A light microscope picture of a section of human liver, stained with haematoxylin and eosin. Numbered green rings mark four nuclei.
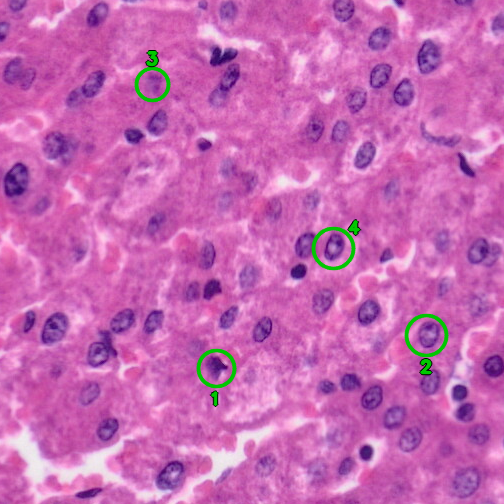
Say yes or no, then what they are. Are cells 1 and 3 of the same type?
No, cell 1 is an endothelial cell and cell 3 is a hepatocyte.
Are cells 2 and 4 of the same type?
Yes, both are hepatocytes.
